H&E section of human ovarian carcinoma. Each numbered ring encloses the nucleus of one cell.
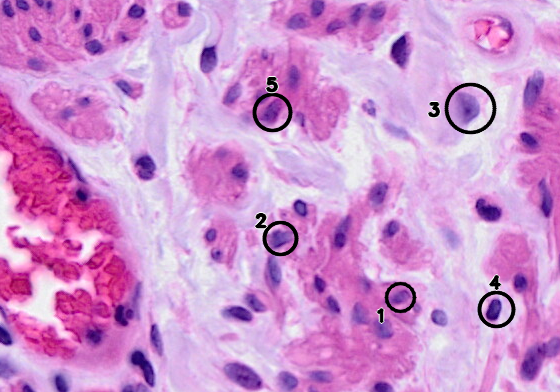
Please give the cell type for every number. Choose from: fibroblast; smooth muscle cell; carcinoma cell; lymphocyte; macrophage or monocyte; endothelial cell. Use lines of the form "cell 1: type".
cell 1: smooth muscle cell
cell 2: smooth muscle cell
cell 3: fibroblast
cell 4: lymphocyte
cell 5: smooth muscle cell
